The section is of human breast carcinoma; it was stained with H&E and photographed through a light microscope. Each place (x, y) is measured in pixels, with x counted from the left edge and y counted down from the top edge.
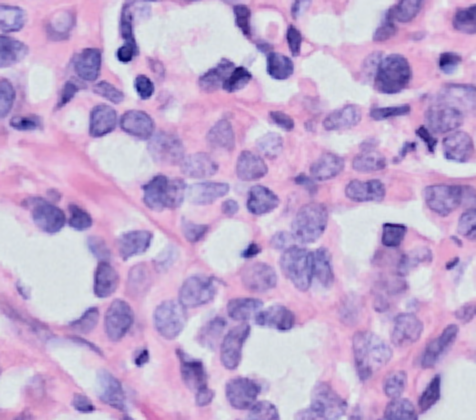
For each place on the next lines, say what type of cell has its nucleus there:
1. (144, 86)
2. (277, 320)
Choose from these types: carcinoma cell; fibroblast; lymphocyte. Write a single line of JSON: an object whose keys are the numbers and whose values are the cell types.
{"1": "lymphocyte", "2": "carcinoma cell"}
